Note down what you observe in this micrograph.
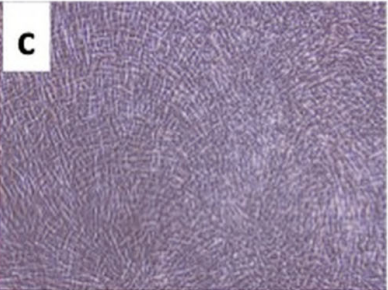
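The cells are slender and spindle-shaped, each drawn out into a thin bipolar form. They pack tightly side by side and align with their neighbours, so that the whole field is covered by parallel streams. These streams bend and meet in broad swirling whorls, the pattern typical of a confluent fibroblast layer. At this magnification single cells show mainly as fine bright-edged strokes, and little inner detail can be made out.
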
